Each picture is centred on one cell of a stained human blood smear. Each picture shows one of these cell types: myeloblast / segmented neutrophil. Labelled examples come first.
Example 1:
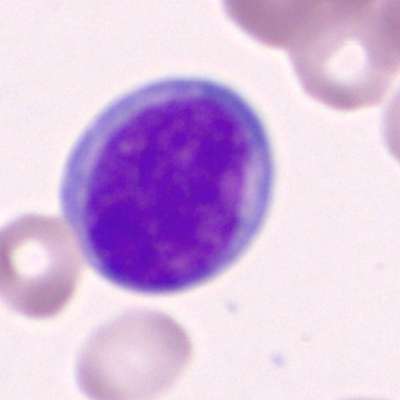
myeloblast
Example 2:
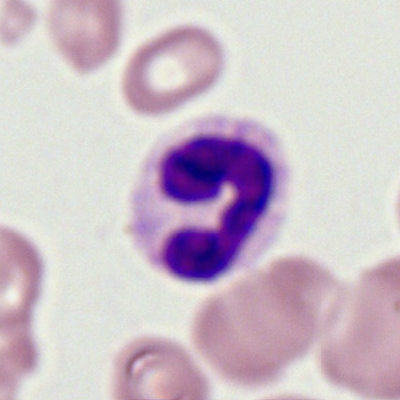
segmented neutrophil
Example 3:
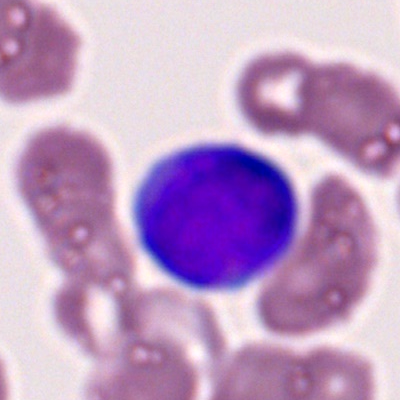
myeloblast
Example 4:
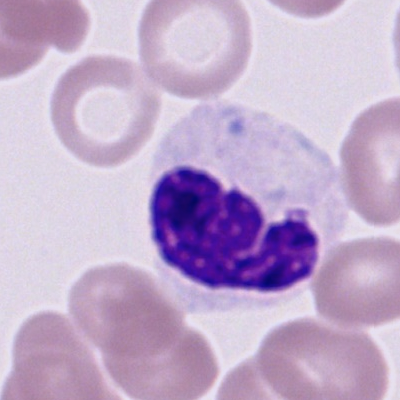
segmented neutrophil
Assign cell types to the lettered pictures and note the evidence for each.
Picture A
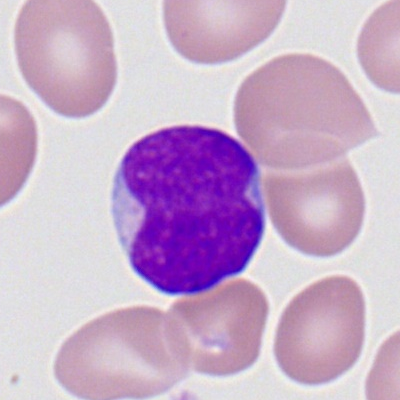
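myeloblast. Reason: The nucleus fills most of the cell.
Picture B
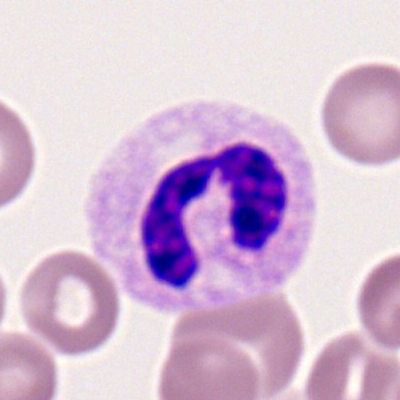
segmented neutrophil. Reason: The cytoplasm is abundant and surrounds the nucleus on all sides.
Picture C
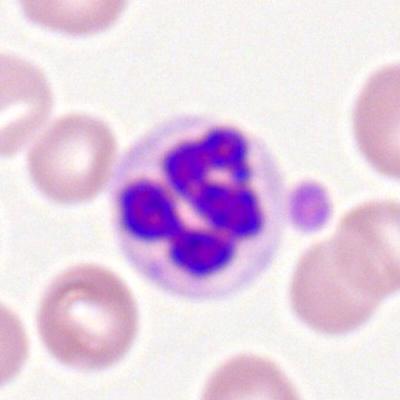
segmented neutrophil. Reason: The nucleus is divided into several separate lobes.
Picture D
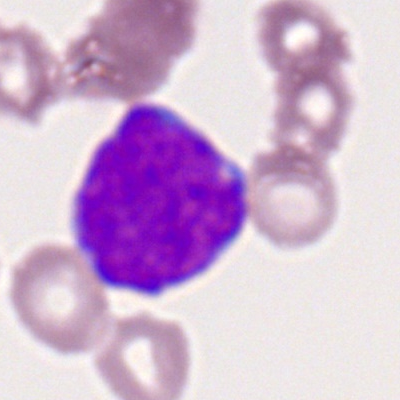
myeloblast. Reason: The small amount of cytoplasm that shows at the edge is blue.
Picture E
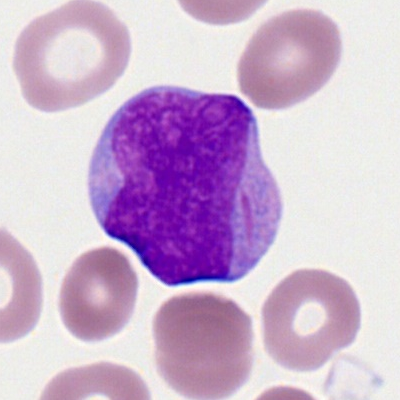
myeloblast. Reason: The nucleus fills most of the cell.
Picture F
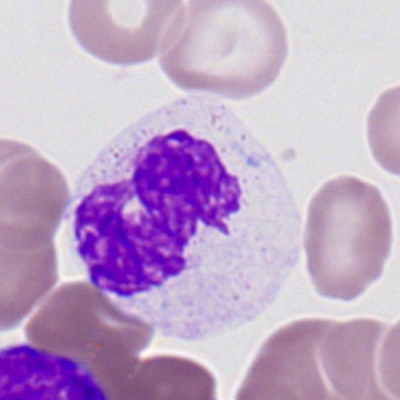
segmented neutrophil. Reason: The cytoplasm is abundant and pale grey-blue.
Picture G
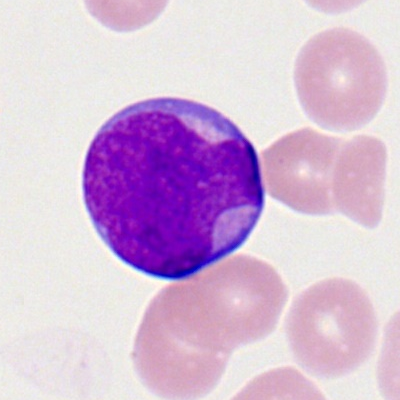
myeloblast. Reason: The nucleus fills most of the cell.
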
